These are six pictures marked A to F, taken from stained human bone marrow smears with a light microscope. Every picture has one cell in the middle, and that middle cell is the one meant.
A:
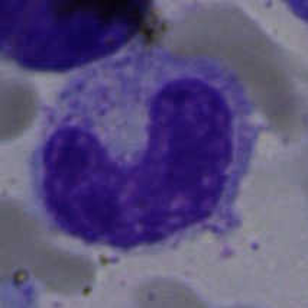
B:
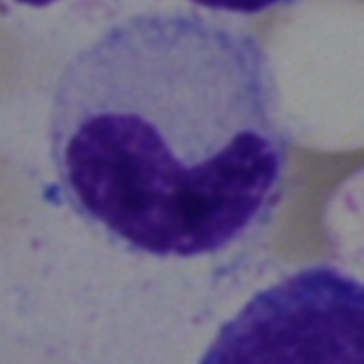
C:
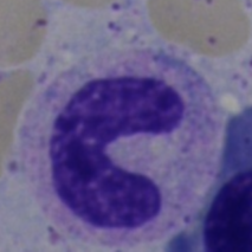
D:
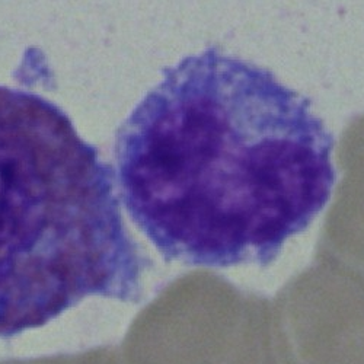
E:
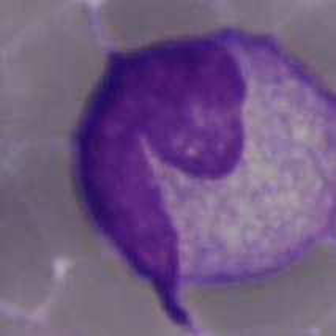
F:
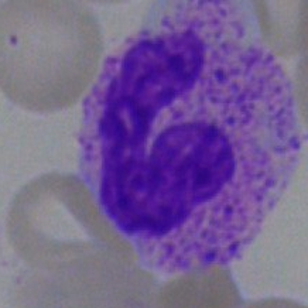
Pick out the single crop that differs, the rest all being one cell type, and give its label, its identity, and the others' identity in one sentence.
All of the other crops show band neutrophils, while crop D shows a monocyte instead.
